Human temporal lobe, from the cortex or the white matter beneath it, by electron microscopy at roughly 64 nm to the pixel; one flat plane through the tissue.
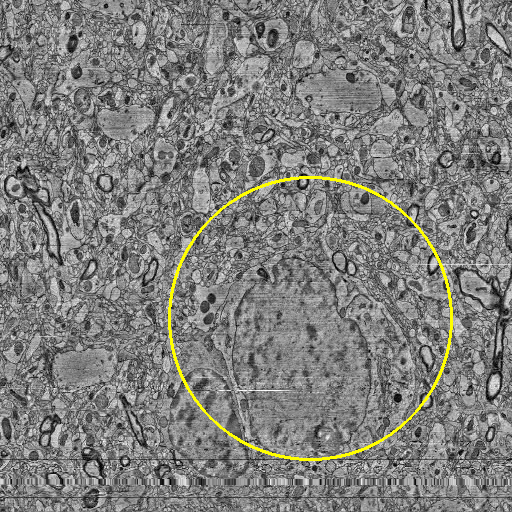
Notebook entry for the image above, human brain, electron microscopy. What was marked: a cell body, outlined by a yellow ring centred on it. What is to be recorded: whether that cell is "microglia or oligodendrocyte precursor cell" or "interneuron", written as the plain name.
interneuron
